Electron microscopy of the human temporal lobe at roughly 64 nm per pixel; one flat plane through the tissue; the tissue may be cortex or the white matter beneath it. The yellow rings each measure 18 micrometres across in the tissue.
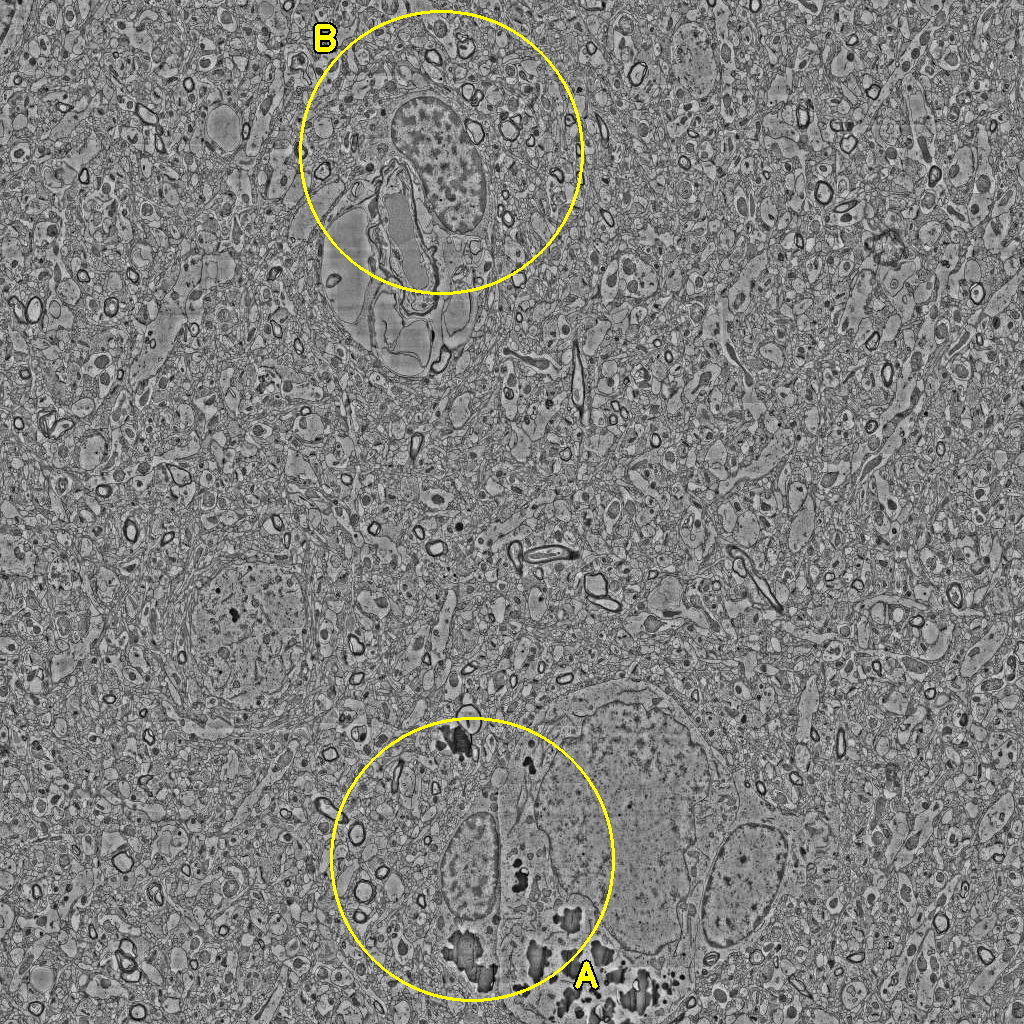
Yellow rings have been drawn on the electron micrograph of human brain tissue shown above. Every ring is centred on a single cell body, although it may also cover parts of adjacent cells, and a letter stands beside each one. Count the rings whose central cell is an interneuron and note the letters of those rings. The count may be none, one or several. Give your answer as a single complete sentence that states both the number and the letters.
With no ring centred on an interneuron, the resulting count is zero.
